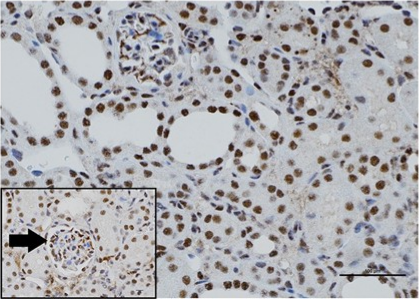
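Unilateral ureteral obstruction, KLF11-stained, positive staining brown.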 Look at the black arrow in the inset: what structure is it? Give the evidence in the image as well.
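The arrow points to a round compact tuft of cells. The tuft is surrounded by tubular profiles. The answer: Glomerulus.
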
